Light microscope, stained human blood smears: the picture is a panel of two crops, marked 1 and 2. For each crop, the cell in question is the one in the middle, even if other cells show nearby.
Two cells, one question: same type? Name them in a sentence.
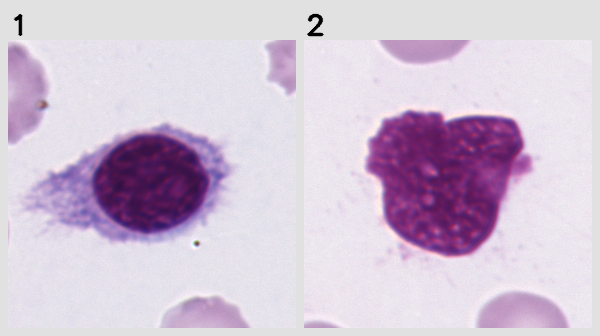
No, a hairy cell is what occupies crop 1, and a smudge cell is what occupies crop 2.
